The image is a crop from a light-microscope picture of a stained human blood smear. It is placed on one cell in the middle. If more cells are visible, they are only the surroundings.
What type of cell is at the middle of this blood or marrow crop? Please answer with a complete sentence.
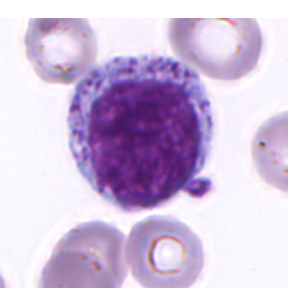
In the central position of this crop, the cell is a myelocyte.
